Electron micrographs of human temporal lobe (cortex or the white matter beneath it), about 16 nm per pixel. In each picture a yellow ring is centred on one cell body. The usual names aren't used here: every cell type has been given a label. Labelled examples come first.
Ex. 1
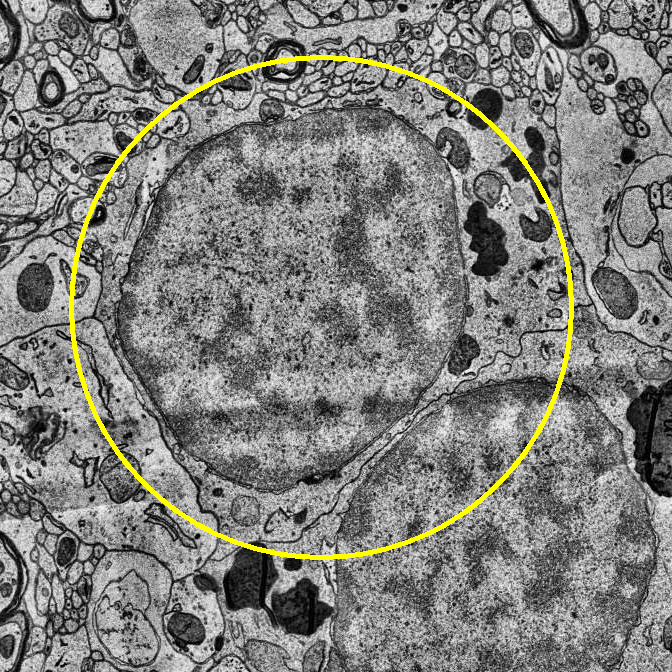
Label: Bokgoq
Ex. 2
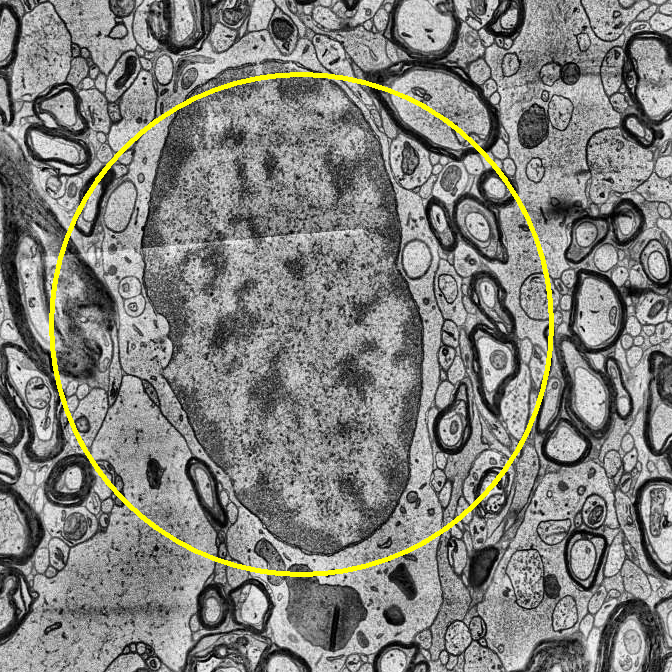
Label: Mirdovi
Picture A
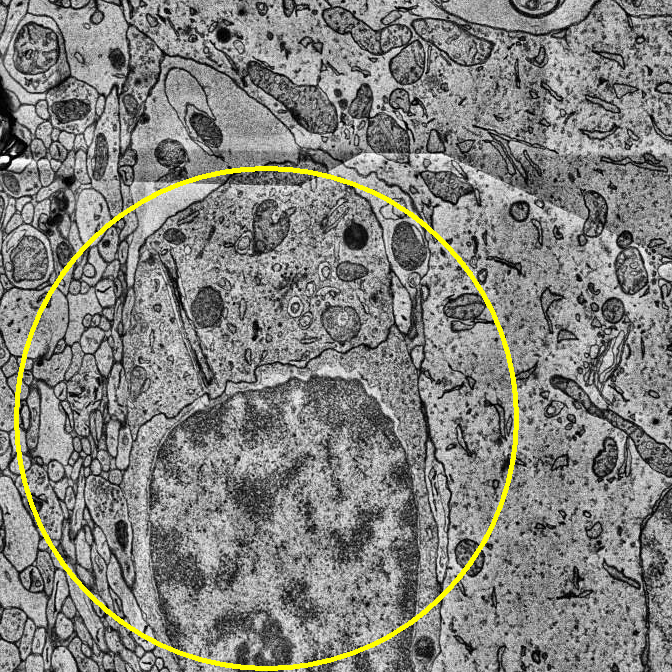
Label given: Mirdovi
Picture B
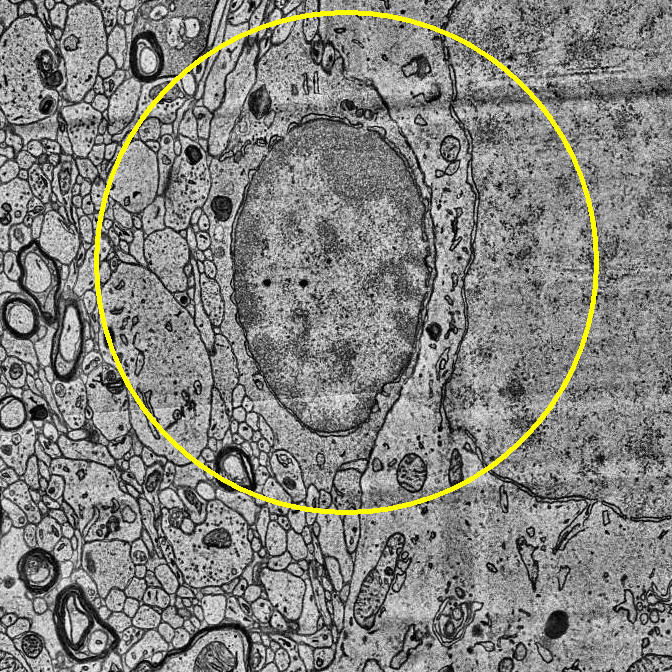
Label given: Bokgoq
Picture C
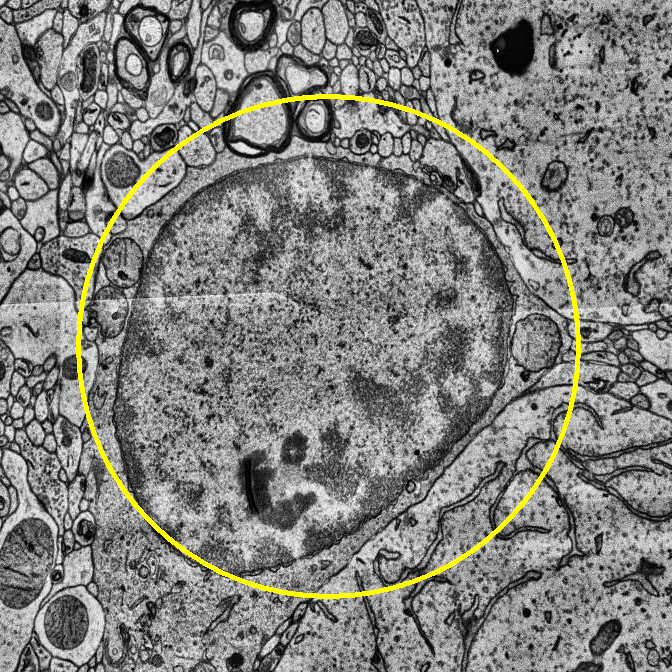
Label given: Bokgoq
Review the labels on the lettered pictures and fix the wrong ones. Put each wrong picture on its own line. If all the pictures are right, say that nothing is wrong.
A: Bokgoq, not Mirdovi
